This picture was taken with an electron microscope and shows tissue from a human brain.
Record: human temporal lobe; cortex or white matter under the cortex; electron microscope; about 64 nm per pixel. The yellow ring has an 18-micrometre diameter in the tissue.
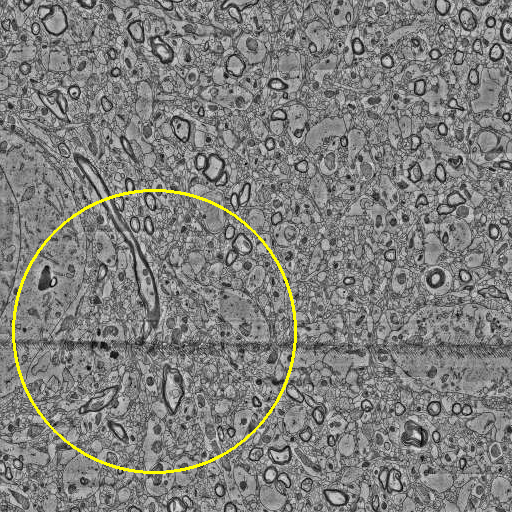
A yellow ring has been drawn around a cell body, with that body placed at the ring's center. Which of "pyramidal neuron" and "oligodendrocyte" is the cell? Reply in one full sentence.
In this picture, an oligodendrocyte is the cell at the center of the yellow ring.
